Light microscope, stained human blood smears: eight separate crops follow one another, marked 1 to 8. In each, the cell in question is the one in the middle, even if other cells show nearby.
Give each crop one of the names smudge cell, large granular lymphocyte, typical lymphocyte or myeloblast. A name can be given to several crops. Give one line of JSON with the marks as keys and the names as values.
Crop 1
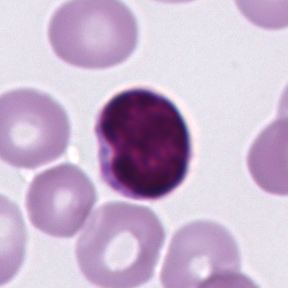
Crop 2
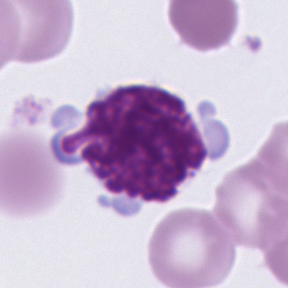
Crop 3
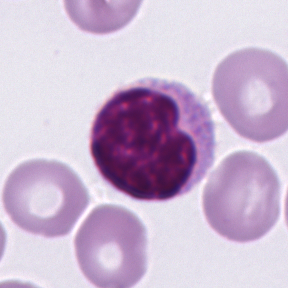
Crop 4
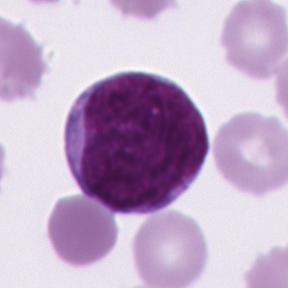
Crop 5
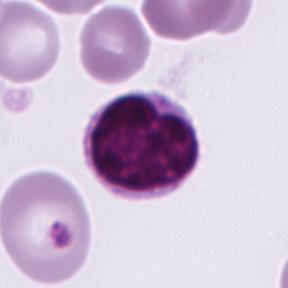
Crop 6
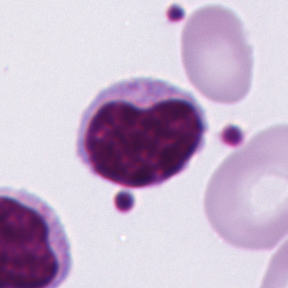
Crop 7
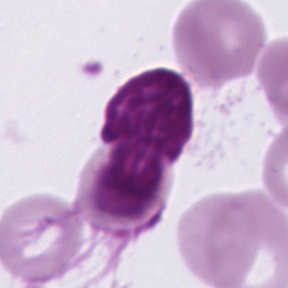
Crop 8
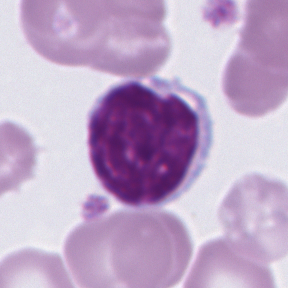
{"1": "large granular lymphocyte", "2": "typical lymphocyte", "3": "large granular lymphocyte", "4": "myeloblast", "5": "large granular lymphocyte", "6": "large granular lymphocyte", "7": "smudge cell", "8": "typical lymphocyte"}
